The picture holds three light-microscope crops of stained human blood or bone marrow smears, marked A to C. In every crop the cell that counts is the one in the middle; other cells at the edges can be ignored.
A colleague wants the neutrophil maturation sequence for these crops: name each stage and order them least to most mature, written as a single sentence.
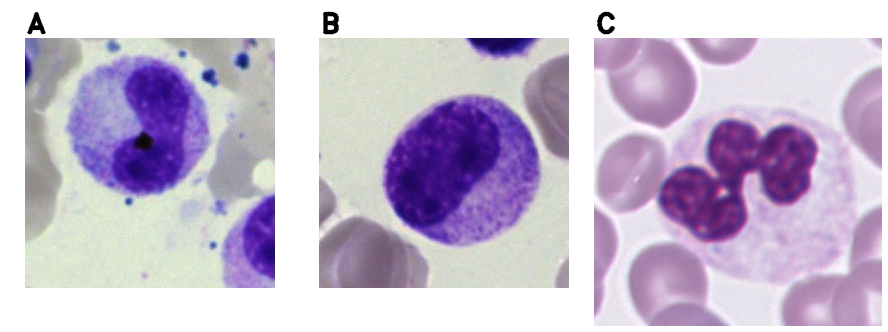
Increasing in maturity, the crops run crop B (a myelocyte), crop A (a band neutrophil) and crop C (a segmented neutrophil).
